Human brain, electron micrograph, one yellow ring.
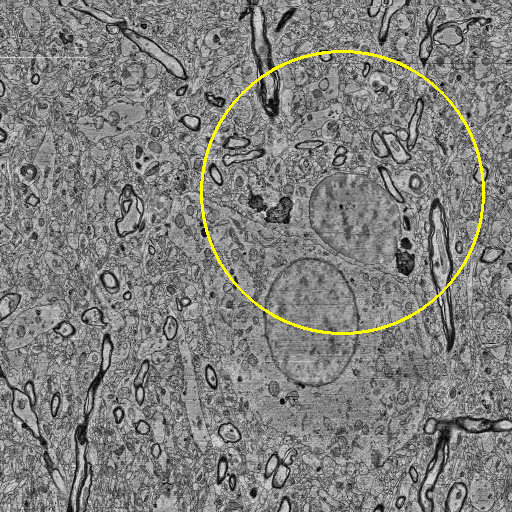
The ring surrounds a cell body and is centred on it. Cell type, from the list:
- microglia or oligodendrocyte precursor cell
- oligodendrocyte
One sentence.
The yellow ring circles an oligodendrocyte.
